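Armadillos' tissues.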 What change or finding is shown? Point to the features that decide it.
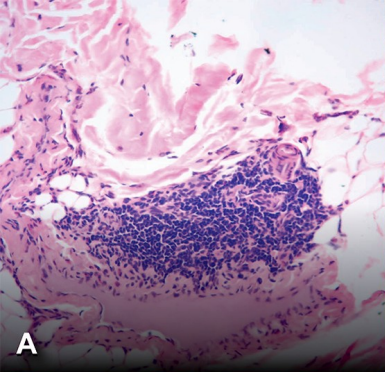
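A dense cluster of small, dark, round nuclei lies among pink collagen bundles.
Conclusion: inflammatory infiltrate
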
